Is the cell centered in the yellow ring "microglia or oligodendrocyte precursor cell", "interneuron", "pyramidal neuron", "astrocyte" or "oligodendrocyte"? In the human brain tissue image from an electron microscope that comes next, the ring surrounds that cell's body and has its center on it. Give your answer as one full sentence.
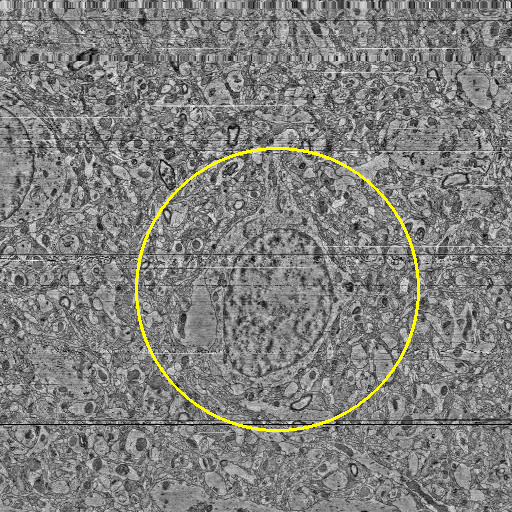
The cell at the center of the yellow ring is an interneuron in the micrograph.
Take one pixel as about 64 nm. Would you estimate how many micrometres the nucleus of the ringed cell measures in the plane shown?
The nucleus works out at approximately 10 by 7 micrometres in this plane.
